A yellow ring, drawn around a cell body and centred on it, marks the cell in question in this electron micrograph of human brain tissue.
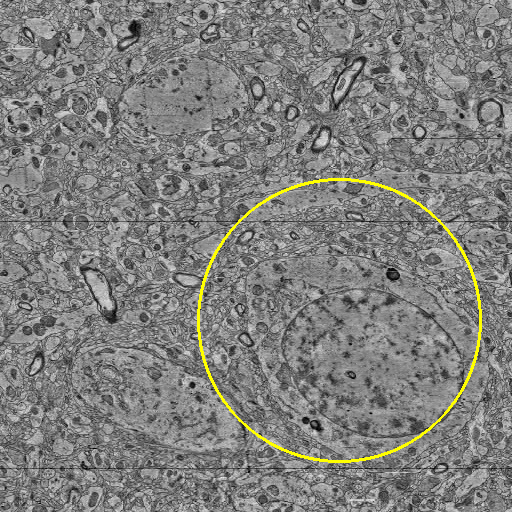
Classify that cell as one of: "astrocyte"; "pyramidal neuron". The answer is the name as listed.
pyramidal neuron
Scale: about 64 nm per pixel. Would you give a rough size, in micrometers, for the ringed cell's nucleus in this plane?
The nucleus is approximately 12 micrometers long by 9 micrometers wide in this plane.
